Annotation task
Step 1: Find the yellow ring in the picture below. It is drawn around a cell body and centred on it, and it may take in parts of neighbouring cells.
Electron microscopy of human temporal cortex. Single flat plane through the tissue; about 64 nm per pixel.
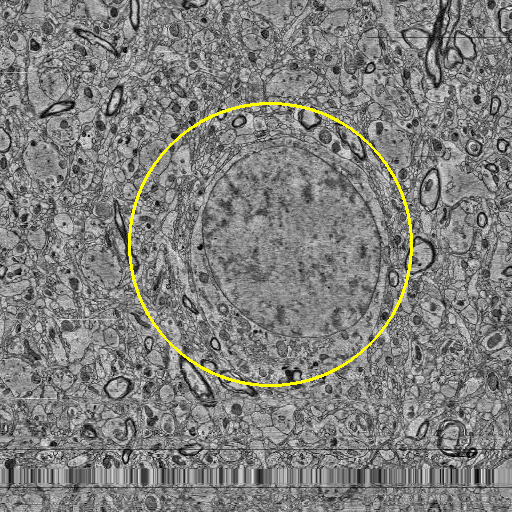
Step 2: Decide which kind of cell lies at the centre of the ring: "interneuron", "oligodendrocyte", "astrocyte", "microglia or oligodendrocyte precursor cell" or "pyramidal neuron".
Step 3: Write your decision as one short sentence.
The kind of cell at the ring's centre is a pyramidal neuron.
